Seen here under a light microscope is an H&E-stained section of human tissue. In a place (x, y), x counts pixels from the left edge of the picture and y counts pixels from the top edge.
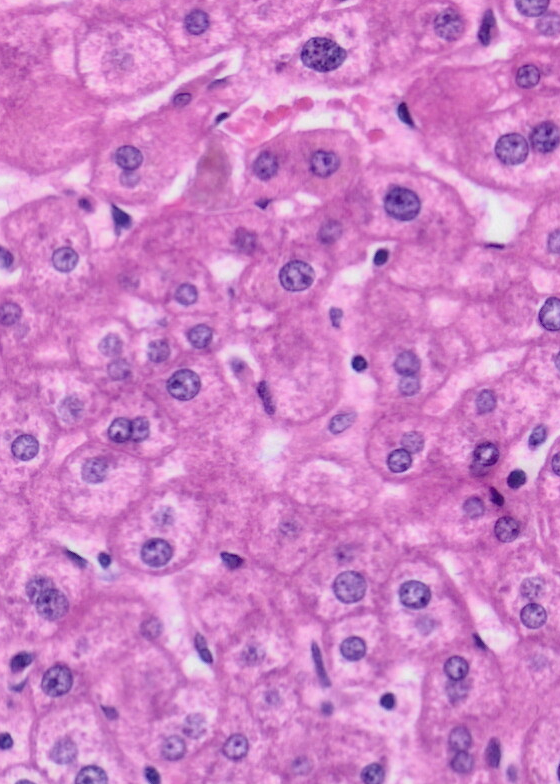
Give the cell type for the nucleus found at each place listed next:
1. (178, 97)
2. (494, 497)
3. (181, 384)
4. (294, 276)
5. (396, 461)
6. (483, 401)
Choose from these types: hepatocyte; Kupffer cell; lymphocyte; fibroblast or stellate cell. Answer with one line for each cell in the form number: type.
1: Kupffer cell
2: fibroblast or stellate cell
3: hepatocyte
4: hepatocyte
5: hepatocyte
6: hepatocyte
